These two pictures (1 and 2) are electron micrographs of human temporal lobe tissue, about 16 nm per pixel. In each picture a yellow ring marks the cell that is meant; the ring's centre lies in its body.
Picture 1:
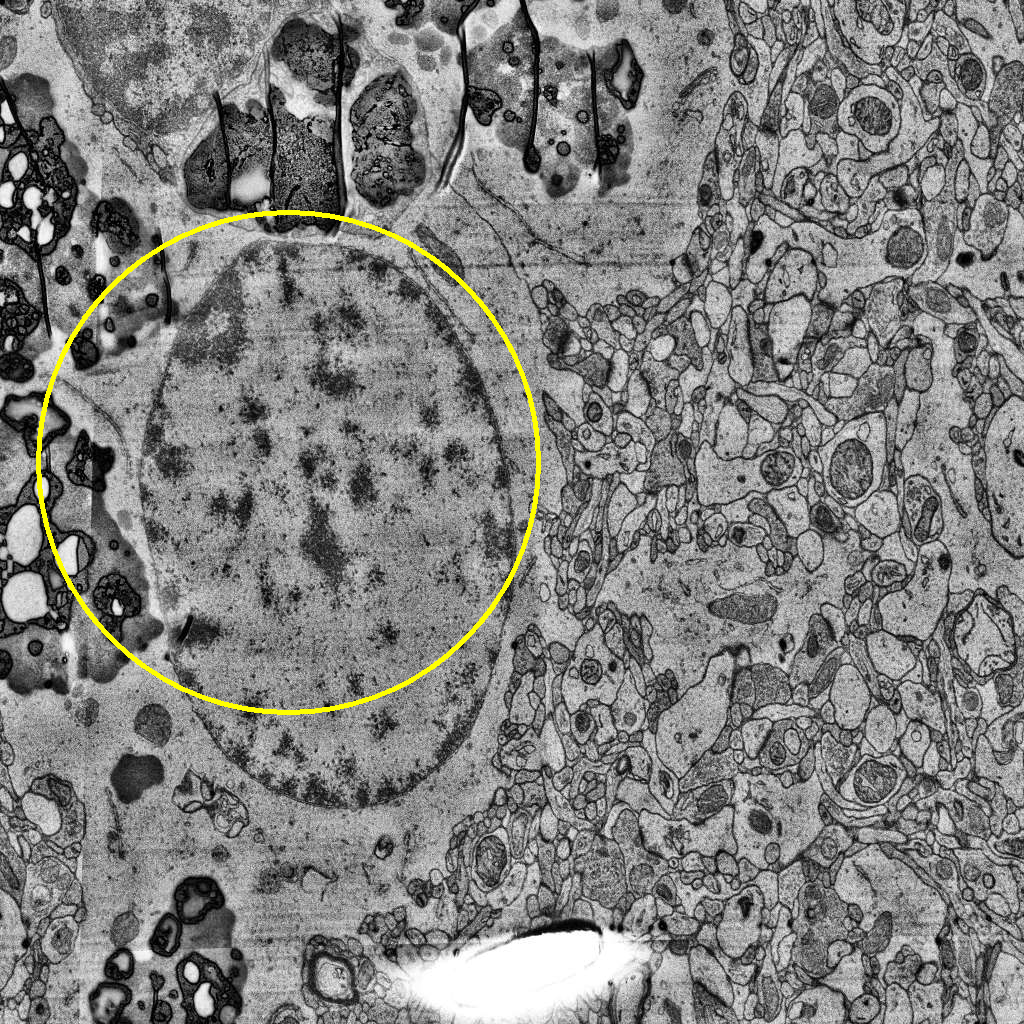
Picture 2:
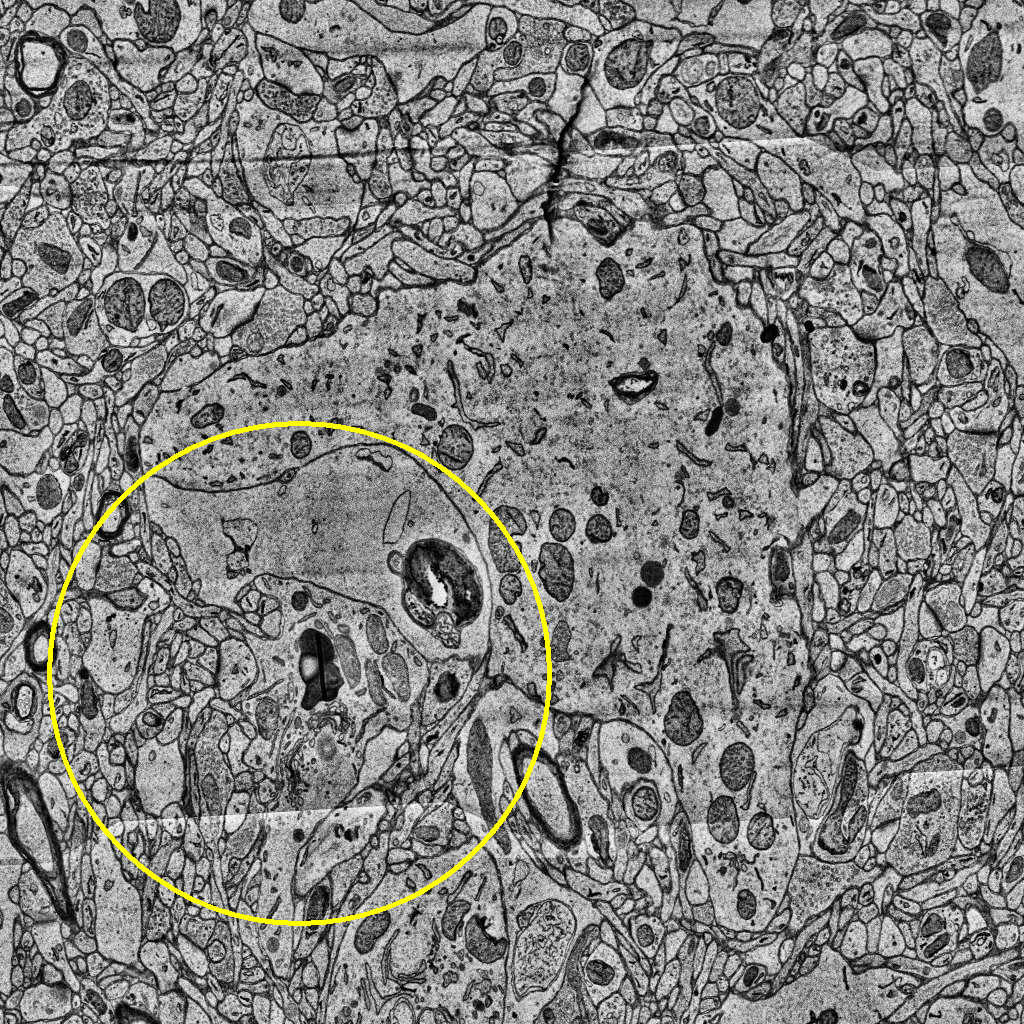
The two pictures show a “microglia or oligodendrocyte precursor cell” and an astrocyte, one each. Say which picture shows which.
The cell in picture 1 is an astrocyte, and the one in picture 2 is a “microglia or oligodendrocyte precursor cell”.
